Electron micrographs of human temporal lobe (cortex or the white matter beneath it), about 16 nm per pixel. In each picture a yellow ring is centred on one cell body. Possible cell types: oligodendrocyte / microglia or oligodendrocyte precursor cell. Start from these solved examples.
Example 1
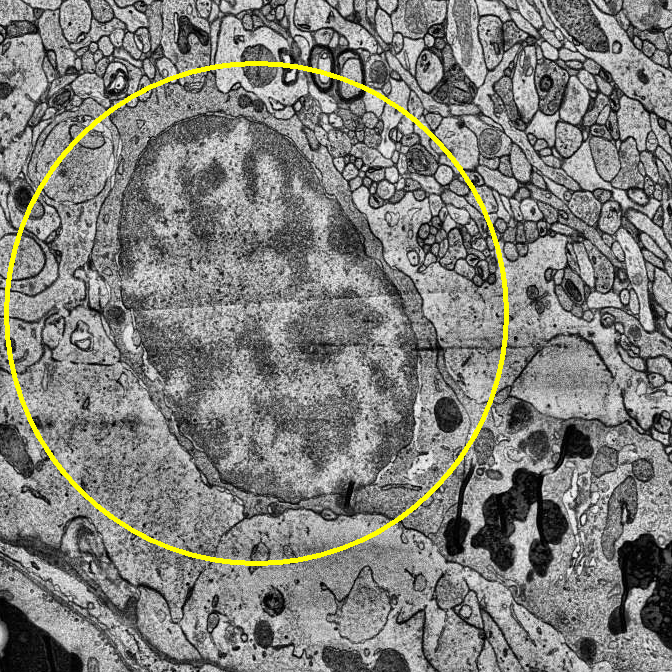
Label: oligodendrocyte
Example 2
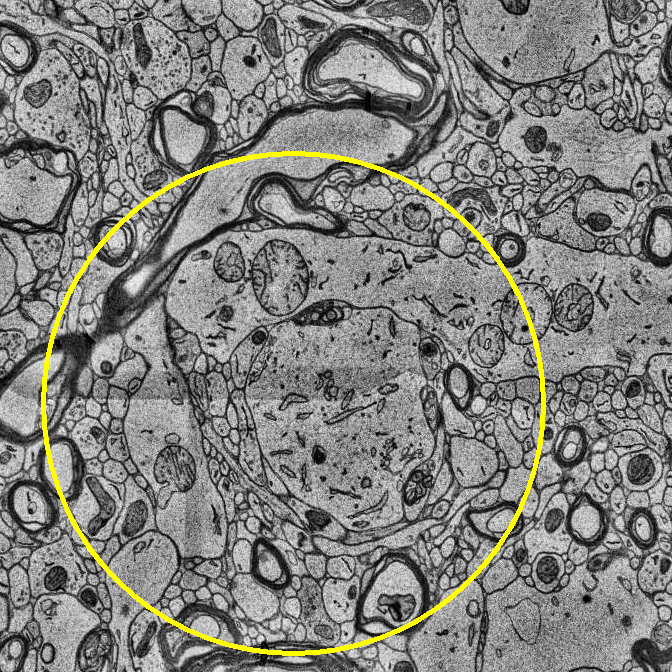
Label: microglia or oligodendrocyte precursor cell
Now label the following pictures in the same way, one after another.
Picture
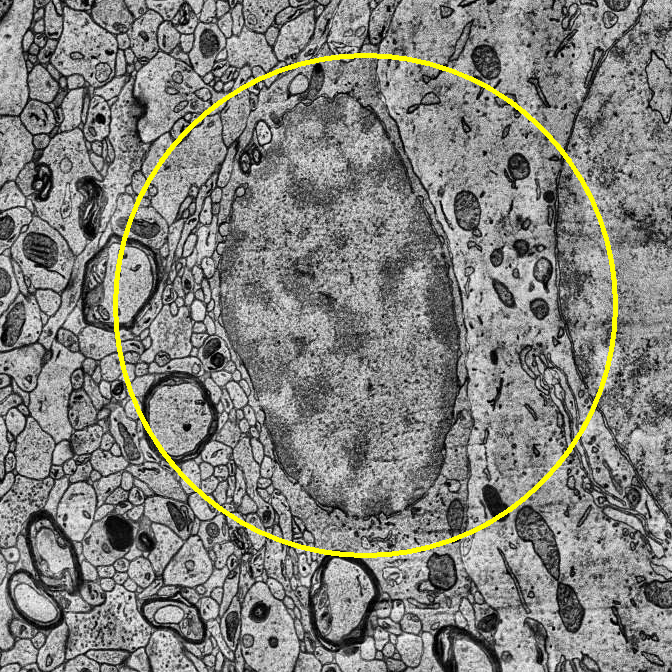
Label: oligodendrocyte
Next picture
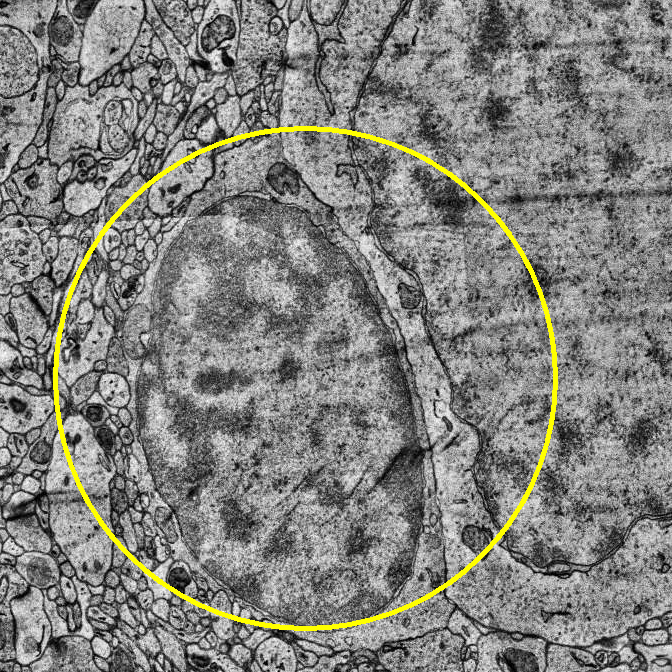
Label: oligodendrocyte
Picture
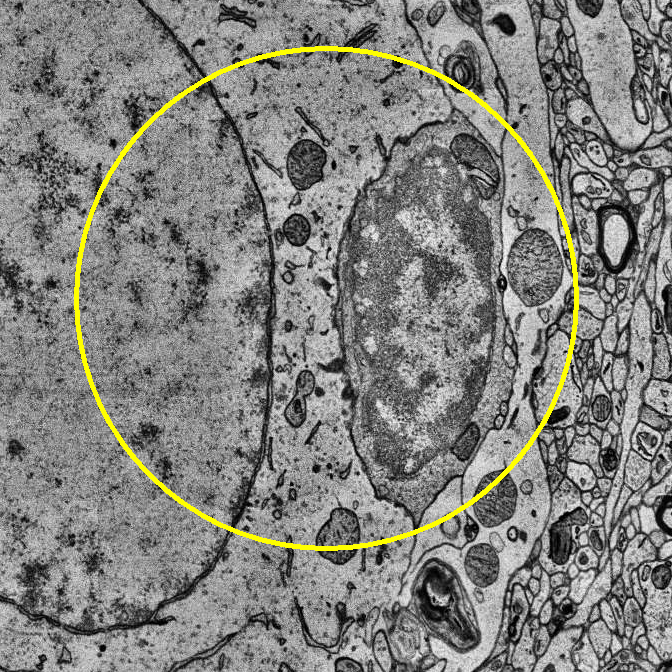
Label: oligodendrocyte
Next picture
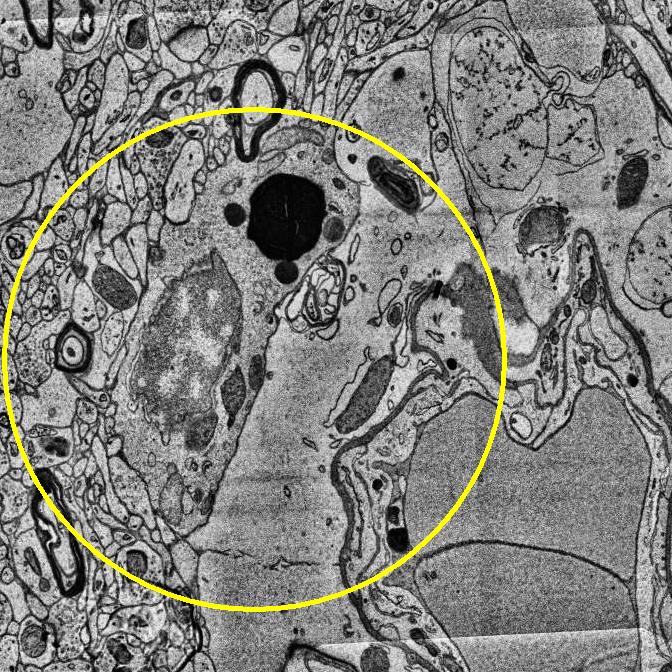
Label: oligodendrocyte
